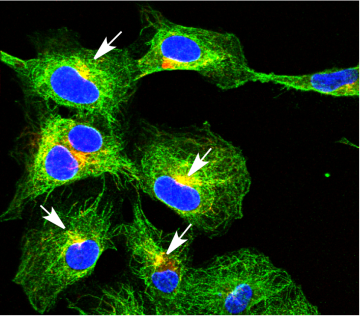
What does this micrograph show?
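Cultured flat, spread cells with oval blue nuclei, each cell filled with a fine green filamentous network that reaches the cell edges. Red staining gathers into a bright focus beside one side of the nucleus, at the centrosome, where it overlaps the green and appears yellow. Fainter red fibres radiate from these foci into the surrounding cytoplasm.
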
